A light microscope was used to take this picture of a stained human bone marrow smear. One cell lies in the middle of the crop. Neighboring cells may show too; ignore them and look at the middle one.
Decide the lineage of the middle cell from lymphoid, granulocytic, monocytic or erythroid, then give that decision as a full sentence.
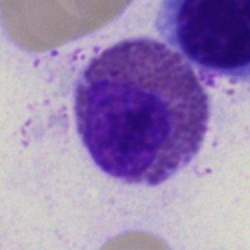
The centered cell here is of granulocytic lineage.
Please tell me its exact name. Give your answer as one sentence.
The cell under consideration, at the middle of the crop, is an eosinophil.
